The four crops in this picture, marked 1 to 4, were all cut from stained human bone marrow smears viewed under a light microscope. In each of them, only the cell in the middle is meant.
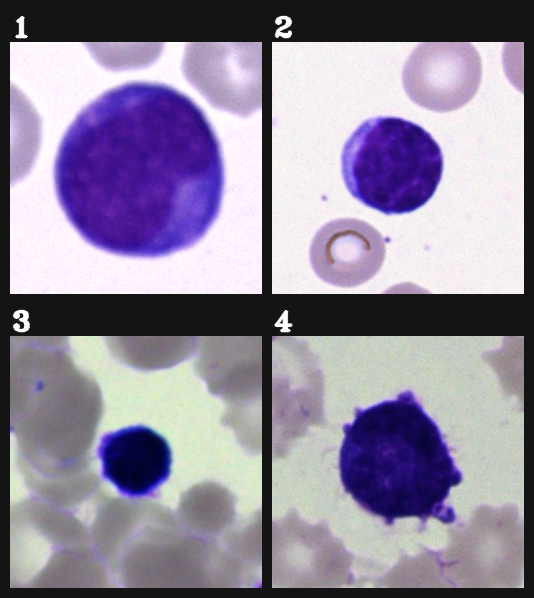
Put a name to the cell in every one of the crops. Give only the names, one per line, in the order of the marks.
blast
lymphocyte
lymphocyte
blast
